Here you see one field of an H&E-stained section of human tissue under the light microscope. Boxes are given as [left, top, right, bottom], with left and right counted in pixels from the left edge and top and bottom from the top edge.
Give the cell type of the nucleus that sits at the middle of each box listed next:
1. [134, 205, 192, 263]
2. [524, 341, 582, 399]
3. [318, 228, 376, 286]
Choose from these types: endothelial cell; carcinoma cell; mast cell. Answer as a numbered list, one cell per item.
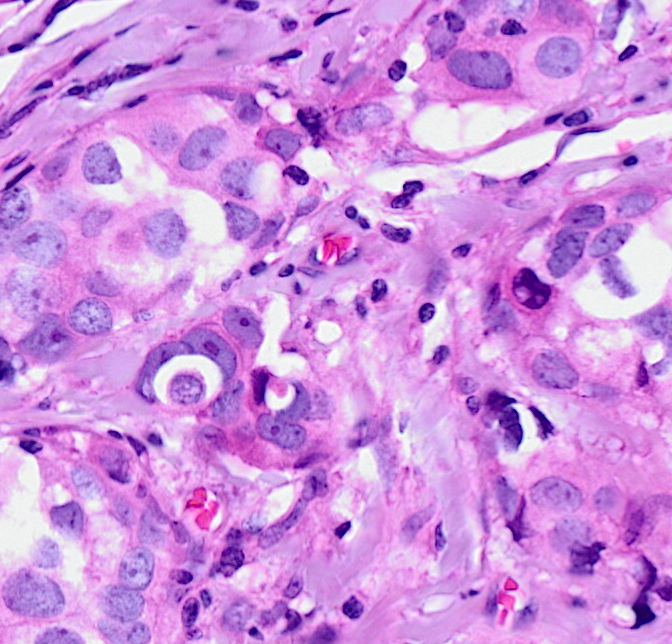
1. carcinoma cell
2. carcinoma cell
3. endothelial cell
